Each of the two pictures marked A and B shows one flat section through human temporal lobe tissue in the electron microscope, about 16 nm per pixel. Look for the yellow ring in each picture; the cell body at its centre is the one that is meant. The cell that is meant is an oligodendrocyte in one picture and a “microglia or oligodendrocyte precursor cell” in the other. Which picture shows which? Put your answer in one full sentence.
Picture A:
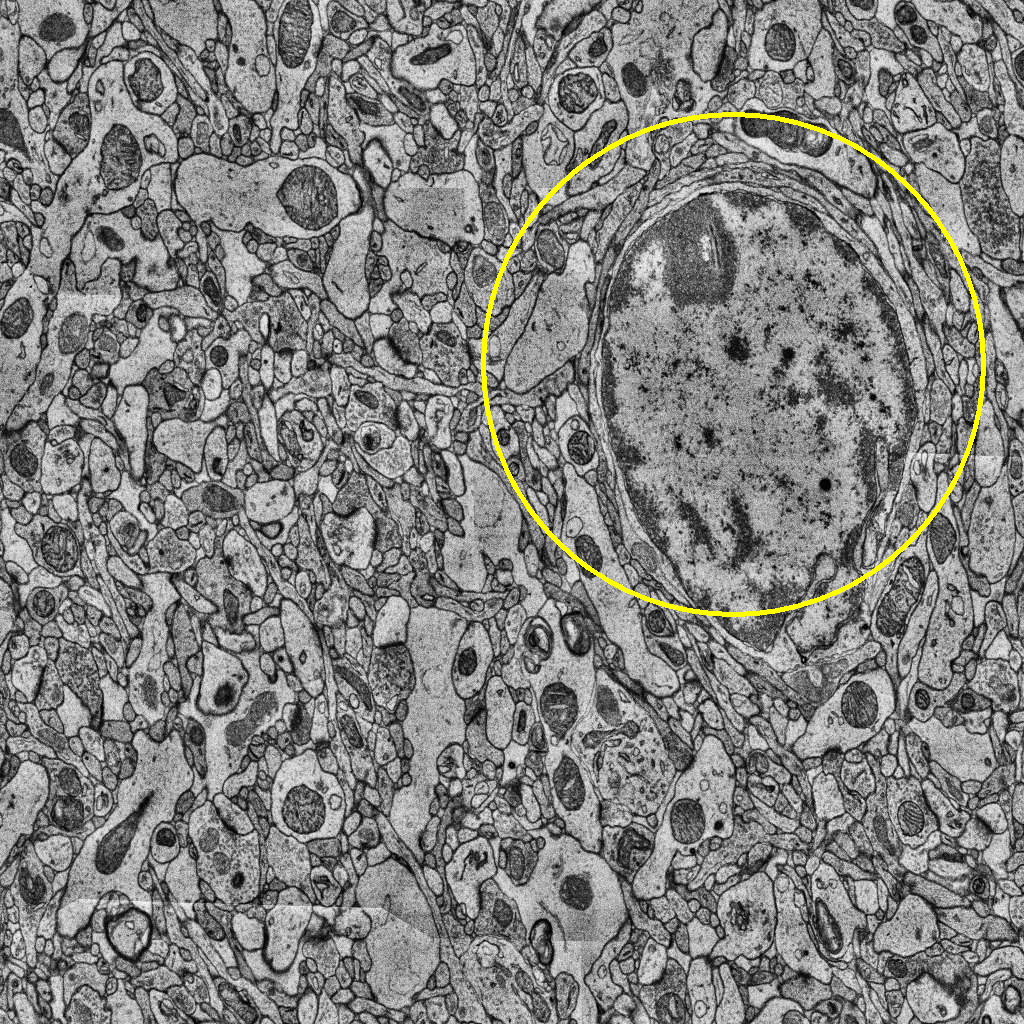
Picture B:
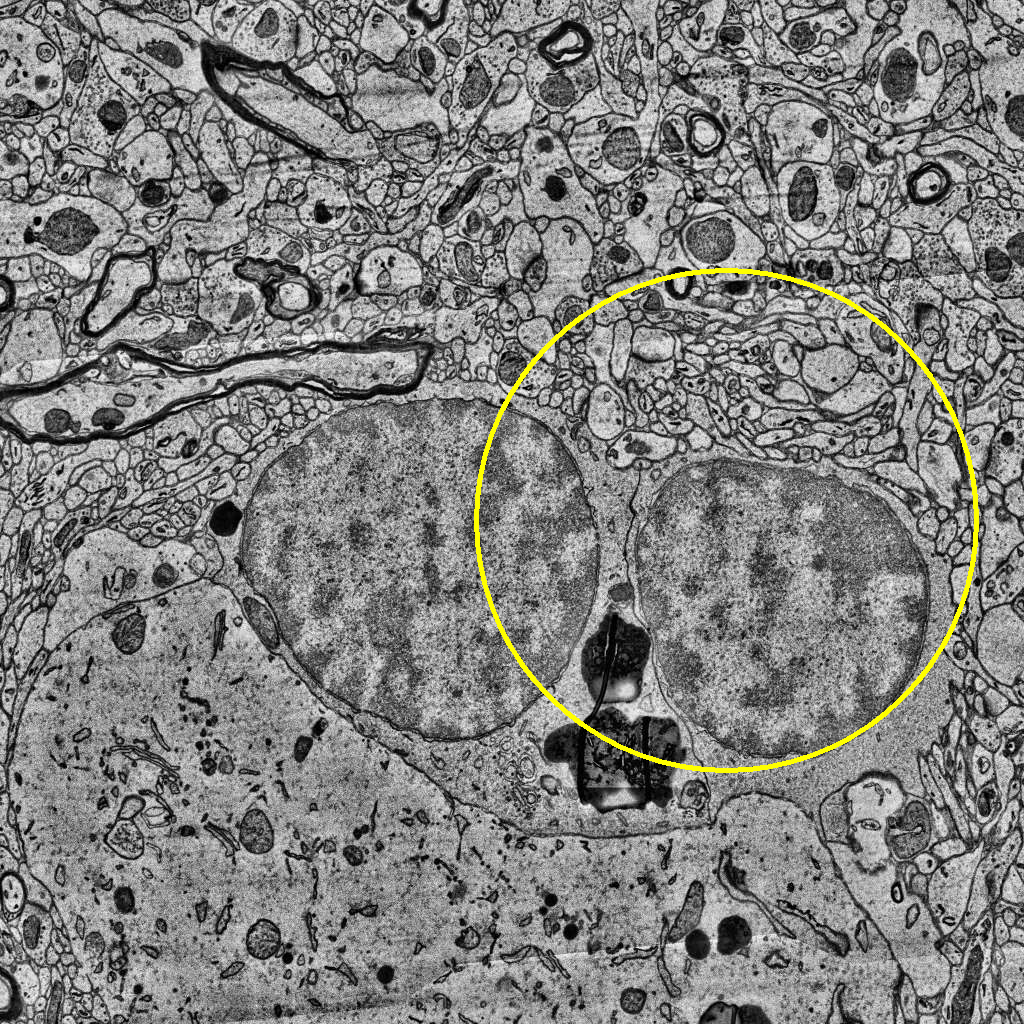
Picture A is of a “microglia or oligodendrocyte precursor cell”, and picture B is of an oligodendrocyte.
